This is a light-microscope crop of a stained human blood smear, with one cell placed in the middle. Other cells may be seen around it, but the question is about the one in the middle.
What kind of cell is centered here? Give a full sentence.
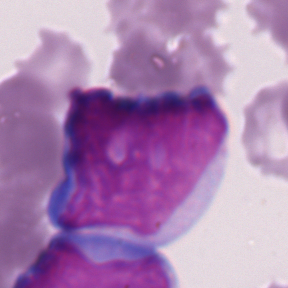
The cell around which this crop is centred is a blast.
